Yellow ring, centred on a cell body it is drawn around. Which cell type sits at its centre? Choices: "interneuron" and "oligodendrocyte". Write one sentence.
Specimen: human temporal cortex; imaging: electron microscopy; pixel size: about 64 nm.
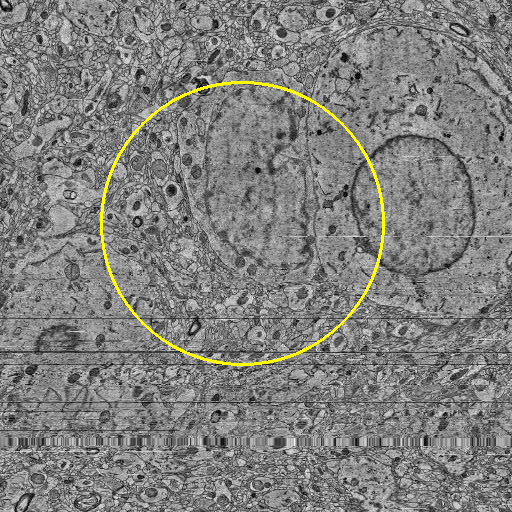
At the centre of the ring sits an interneuron.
